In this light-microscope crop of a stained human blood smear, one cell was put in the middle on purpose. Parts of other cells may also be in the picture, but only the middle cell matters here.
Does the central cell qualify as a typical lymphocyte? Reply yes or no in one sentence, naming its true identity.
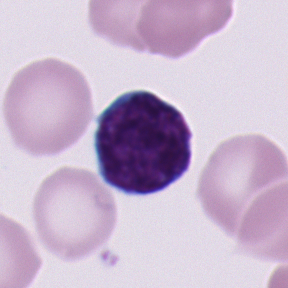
Yes, the middle cell of the field is a typical lymphocyte.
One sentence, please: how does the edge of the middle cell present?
Smooth outline, no projections: that is the whole story of its edge.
